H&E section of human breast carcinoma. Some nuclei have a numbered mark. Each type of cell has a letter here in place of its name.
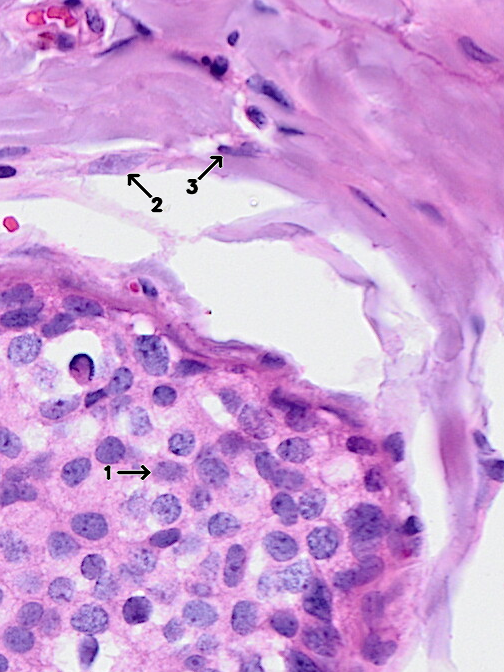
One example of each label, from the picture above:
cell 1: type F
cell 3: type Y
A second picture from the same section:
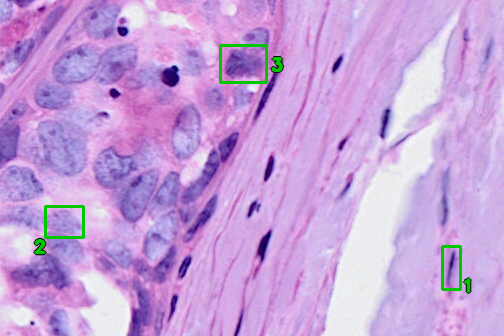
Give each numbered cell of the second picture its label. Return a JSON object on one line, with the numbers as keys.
{"1": "type Y", "2": "type F", "3": "type F"}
